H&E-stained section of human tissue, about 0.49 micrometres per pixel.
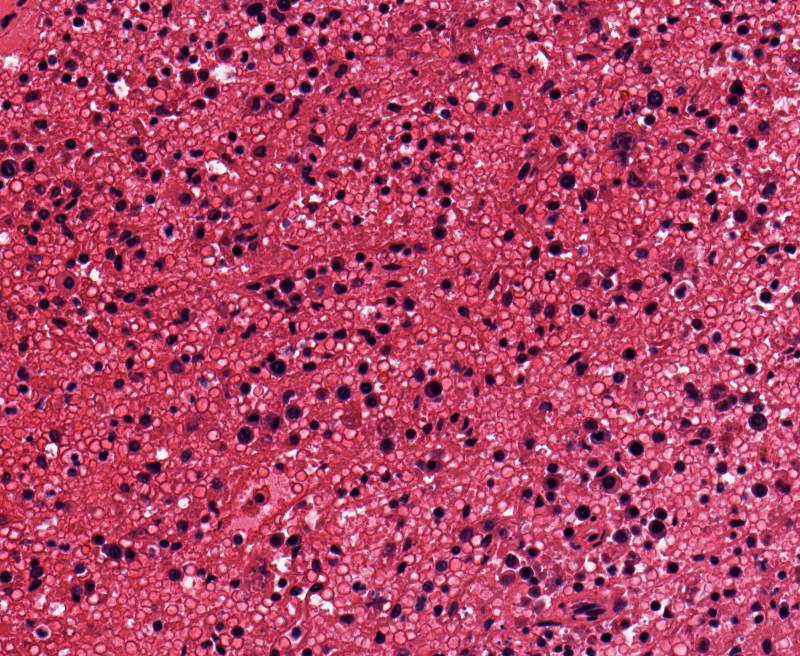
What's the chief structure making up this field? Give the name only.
red pulp of the spleen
